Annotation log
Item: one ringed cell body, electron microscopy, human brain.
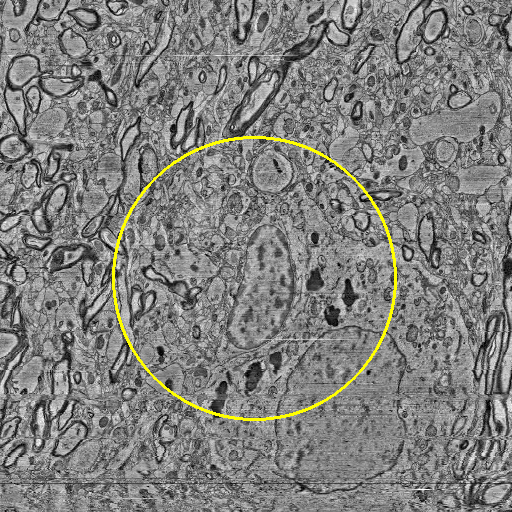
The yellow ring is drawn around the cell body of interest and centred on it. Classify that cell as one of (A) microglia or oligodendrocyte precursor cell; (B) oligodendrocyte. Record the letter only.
A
